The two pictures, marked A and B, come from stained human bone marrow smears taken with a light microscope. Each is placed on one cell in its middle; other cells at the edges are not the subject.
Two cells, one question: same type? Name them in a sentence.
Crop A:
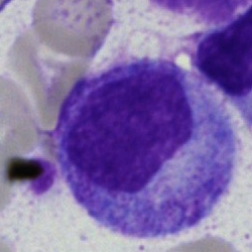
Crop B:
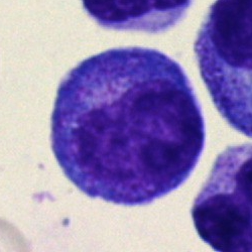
No, crop A contains a myelocyte, and crop B contains a promyelocyte.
